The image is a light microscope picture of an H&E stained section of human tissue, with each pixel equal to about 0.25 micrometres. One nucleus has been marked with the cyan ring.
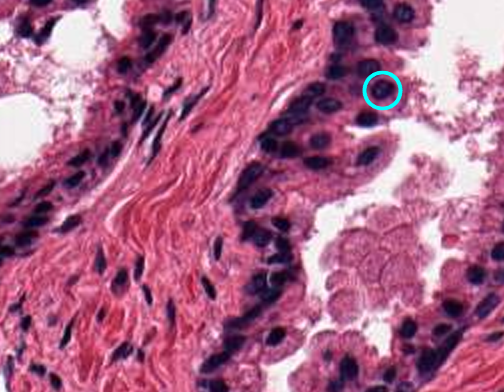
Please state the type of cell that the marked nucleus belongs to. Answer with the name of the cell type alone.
prostate gland luminal cell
